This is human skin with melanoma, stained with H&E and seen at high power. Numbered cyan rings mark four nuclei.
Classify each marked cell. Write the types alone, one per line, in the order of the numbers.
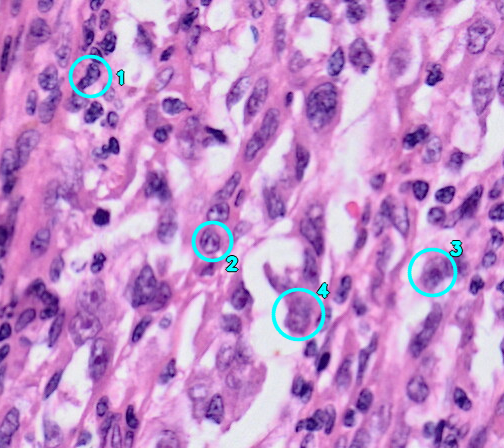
lymphocyte
melanoma cell
melanoma cell
melanoma cell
